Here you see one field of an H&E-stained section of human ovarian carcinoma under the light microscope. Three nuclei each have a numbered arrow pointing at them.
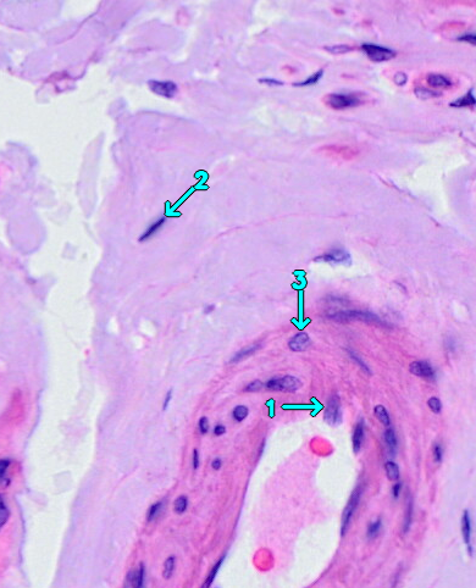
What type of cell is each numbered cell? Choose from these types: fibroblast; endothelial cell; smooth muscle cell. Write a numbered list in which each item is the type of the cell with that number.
1. endothelial cell
2. fibroblast
3. smooth muscle cell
